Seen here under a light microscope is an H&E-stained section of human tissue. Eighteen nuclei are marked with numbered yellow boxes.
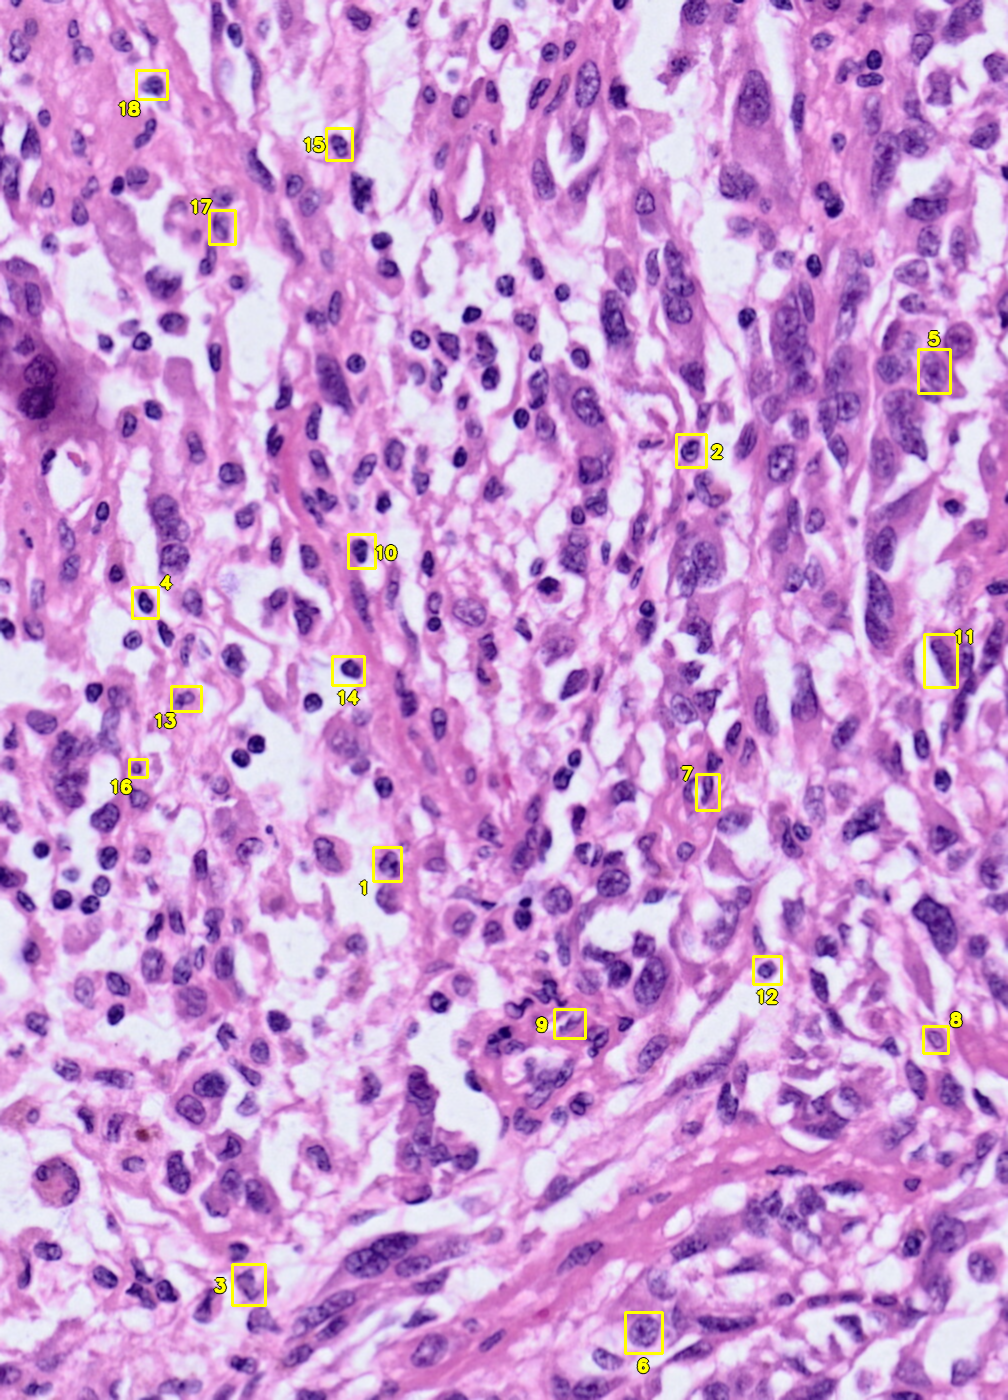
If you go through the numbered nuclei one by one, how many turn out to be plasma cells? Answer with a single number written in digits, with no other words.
0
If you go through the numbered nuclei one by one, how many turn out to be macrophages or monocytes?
6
